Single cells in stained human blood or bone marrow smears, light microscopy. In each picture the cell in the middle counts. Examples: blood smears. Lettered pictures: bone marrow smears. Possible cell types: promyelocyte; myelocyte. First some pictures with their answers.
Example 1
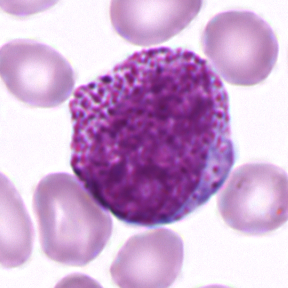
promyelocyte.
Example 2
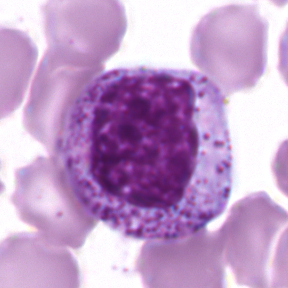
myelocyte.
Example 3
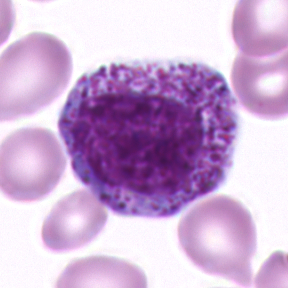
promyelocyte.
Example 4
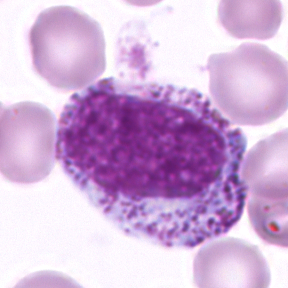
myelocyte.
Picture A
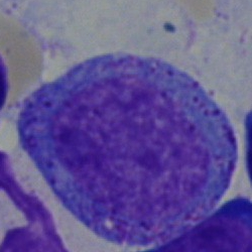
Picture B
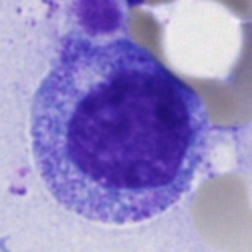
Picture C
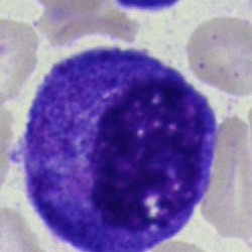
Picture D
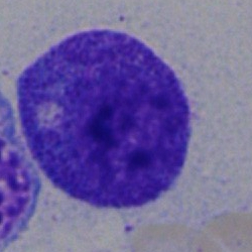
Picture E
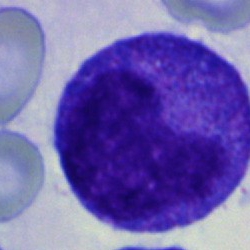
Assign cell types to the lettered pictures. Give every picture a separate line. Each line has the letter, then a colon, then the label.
A: promyelocyte.
B: promyelocyte.
C: promyelocyte.
D: promyelocyte.
E: promyelocyte.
